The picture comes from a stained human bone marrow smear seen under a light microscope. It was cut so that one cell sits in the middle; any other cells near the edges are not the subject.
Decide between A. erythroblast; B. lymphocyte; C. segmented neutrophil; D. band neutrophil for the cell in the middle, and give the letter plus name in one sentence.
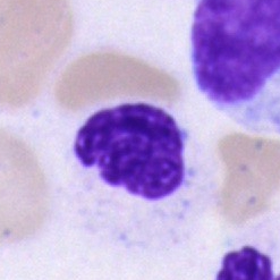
The centrally located cell is a segmented neutrophil, making option C the correct choice.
